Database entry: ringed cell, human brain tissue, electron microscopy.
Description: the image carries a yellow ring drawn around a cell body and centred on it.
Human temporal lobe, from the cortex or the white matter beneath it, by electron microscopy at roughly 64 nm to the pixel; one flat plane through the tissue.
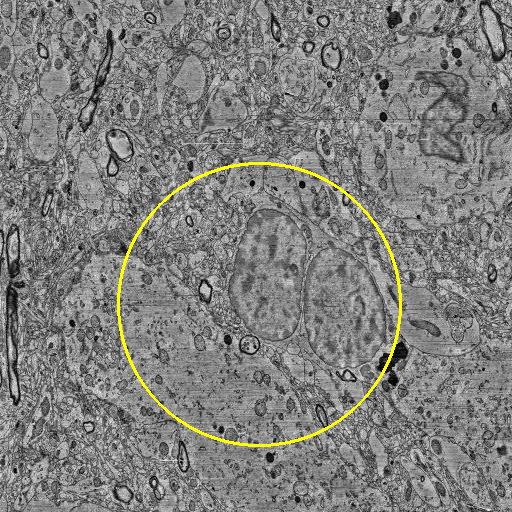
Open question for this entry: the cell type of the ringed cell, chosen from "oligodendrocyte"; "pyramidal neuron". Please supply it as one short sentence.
The ringed cell is an oligodendrocyte.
